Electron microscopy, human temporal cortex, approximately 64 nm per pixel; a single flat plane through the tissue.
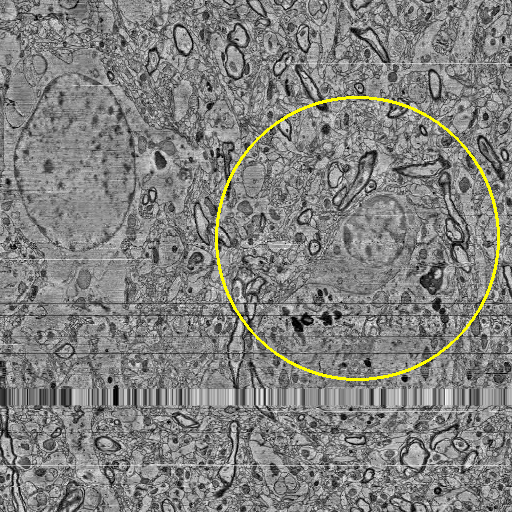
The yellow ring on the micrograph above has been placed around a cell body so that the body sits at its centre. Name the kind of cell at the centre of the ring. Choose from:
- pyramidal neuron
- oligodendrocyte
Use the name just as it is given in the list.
oligodendrocyte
